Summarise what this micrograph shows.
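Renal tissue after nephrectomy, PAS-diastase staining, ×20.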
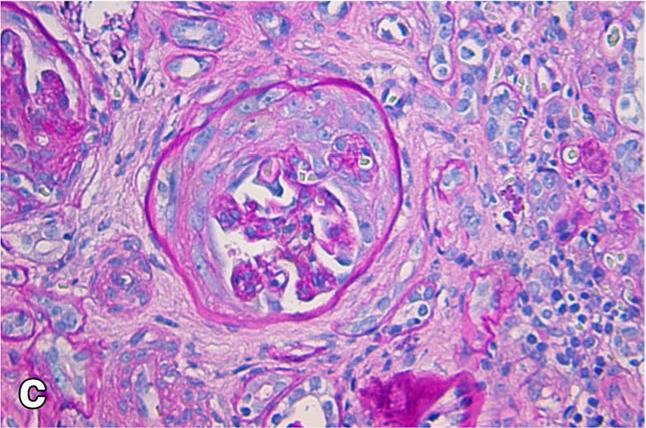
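A glomerulus sits inside a thick, sharply magenta Bowman's capsule, surrounded by fibrotic interstitium and small tubules. Between the capsule and the tuft lies a broad layer of pale, bluish cells with oval nuclei, several cells deep. The capillary tuft in the middle is compressed and contains magenta-staining segments. This layered cellular mass within the urinary space is a florid proliferation of parietal epithelial cells. The surrounding interstitium is widened and cellular, with scattered inflammatory nuclei.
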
